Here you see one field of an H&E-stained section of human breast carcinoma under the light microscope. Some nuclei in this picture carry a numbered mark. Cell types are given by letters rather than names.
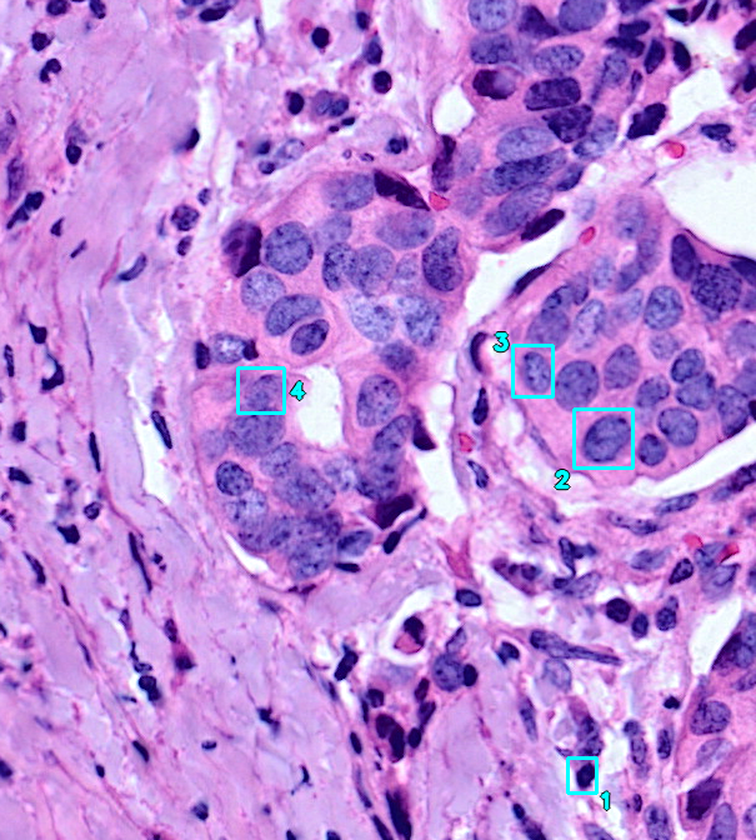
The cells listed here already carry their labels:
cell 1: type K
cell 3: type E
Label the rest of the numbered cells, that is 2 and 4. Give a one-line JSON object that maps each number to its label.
{"2": "type E", "4": "type E"}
